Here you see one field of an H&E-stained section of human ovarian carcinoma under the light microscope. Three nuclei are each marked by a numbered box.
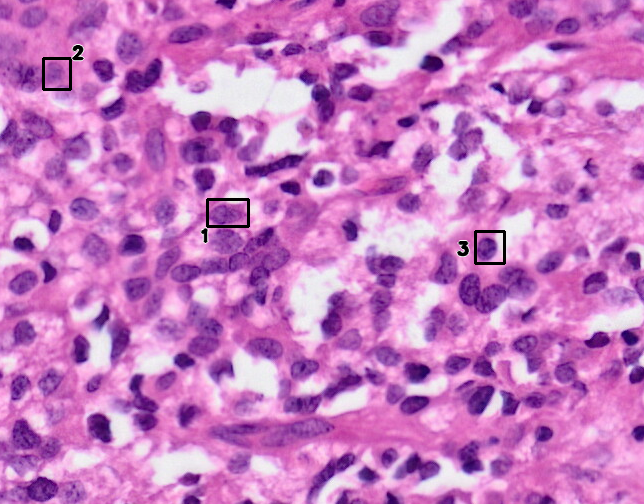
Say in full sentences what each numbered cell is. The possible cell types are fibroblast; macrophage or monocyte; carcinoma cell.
Cell 1 is a carcinoma cell, cell 2 is a carcinoma cell and cell 3 is a macrophage or monocyte.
